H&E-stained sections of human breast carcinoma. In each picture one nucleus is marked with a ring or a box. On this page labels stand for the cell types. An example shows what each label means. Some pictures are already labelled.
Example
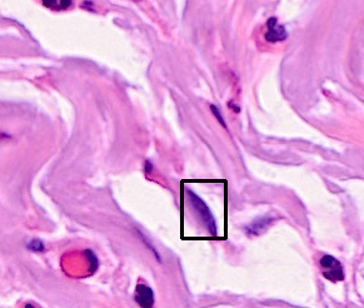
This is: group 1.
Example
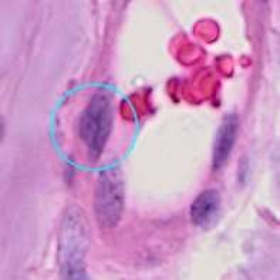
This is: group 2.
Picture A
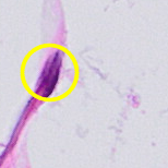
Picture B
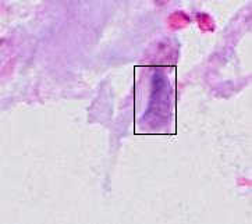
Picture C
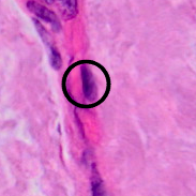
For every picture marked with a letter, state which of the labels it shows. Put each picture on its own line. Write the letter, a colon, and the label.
A: group 2.
B: group 1.
C: group 2.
